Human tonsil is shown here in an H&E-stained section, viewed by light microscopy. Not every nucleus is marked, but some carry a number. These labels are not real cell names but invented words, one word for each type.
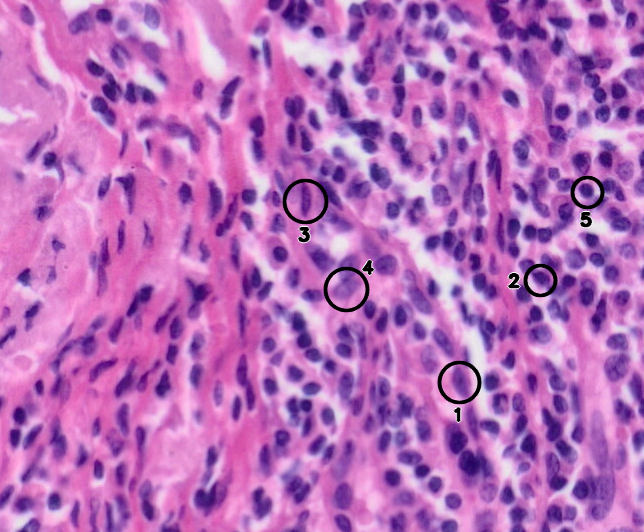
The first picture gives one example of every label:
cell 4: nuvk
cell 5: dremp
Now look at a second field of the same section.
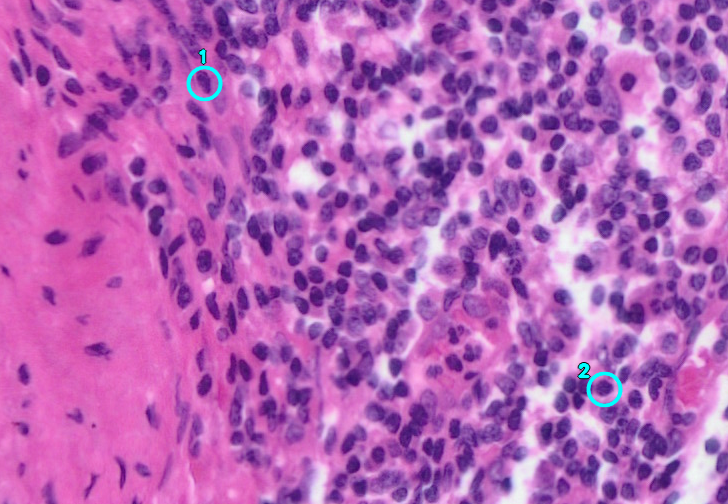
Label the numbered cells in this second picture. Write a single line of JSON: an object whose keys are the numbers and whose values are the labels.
{"1": "nuvk", "2": "dremp"}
